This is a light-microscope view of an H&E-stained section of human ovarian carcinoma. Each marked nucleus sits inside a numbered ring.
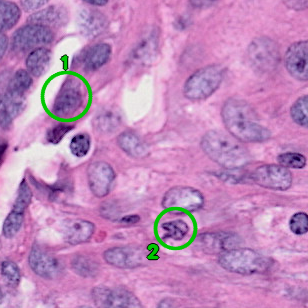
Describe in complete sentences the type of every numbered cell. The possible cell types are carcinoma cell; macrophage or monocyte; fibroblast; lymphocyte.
Cell 1 is a carcinoma cell. Cell 2 is a macrophage or monocyte.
